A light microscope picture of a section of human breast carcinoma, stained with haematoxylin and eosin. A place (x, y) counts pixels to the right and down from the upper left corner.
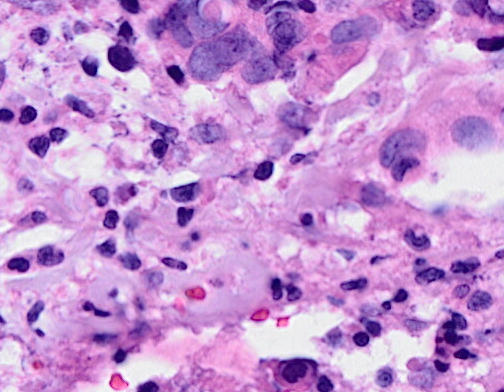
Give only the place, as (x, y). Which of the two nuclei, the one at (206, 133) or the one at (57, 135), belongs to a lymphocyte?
(57, 135)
